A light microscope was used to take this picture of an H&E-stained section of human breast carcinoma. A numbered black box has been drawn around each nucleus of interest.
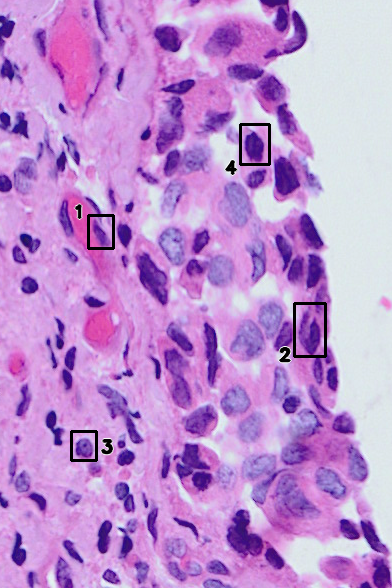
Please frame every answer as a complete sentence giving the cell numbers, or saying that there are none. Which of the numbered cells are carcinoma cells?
On this slide, the cells numbered 2 and 4 are carcinoma cells.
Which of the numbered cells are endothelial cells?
A single numbered cell, cell 1, is an endothelial cell.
